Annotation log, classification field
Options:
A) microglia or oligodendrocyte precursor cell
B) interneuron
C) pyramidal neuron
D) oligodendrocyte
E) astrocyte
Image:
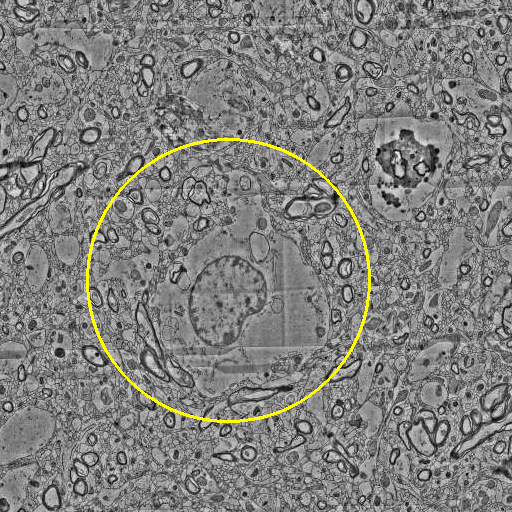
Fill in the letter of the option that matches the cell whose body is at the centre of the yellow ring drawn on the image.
E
